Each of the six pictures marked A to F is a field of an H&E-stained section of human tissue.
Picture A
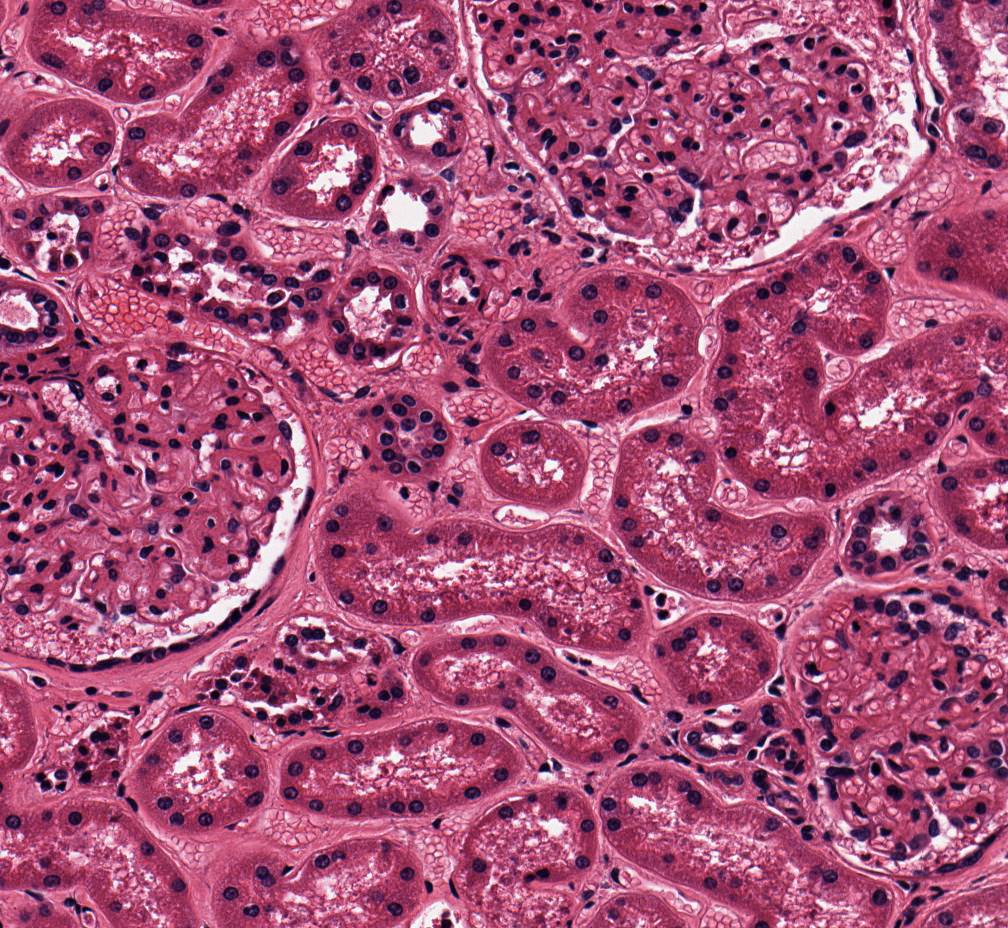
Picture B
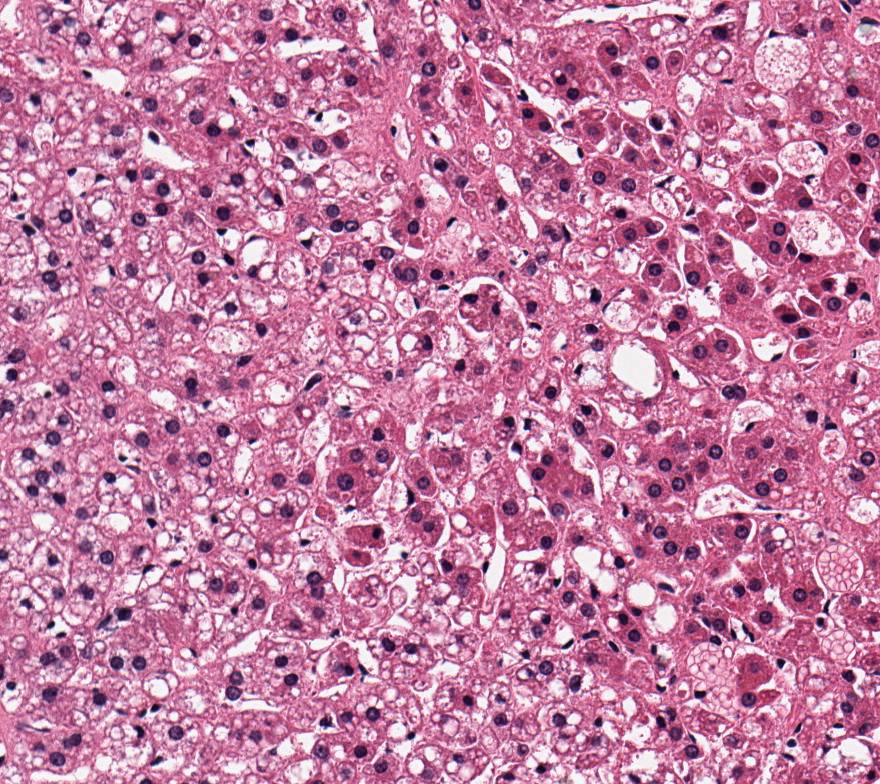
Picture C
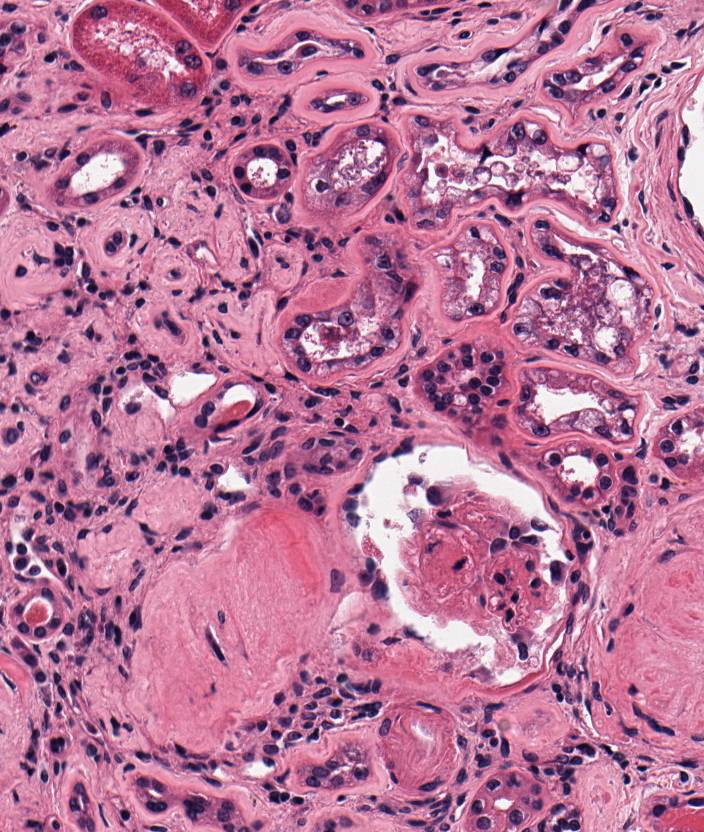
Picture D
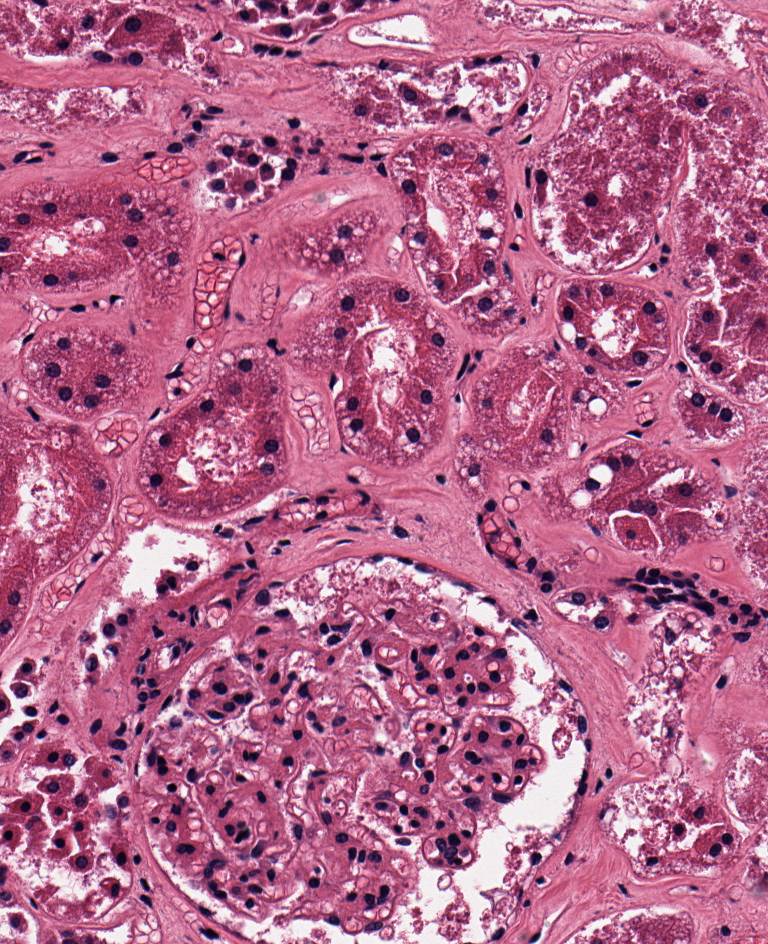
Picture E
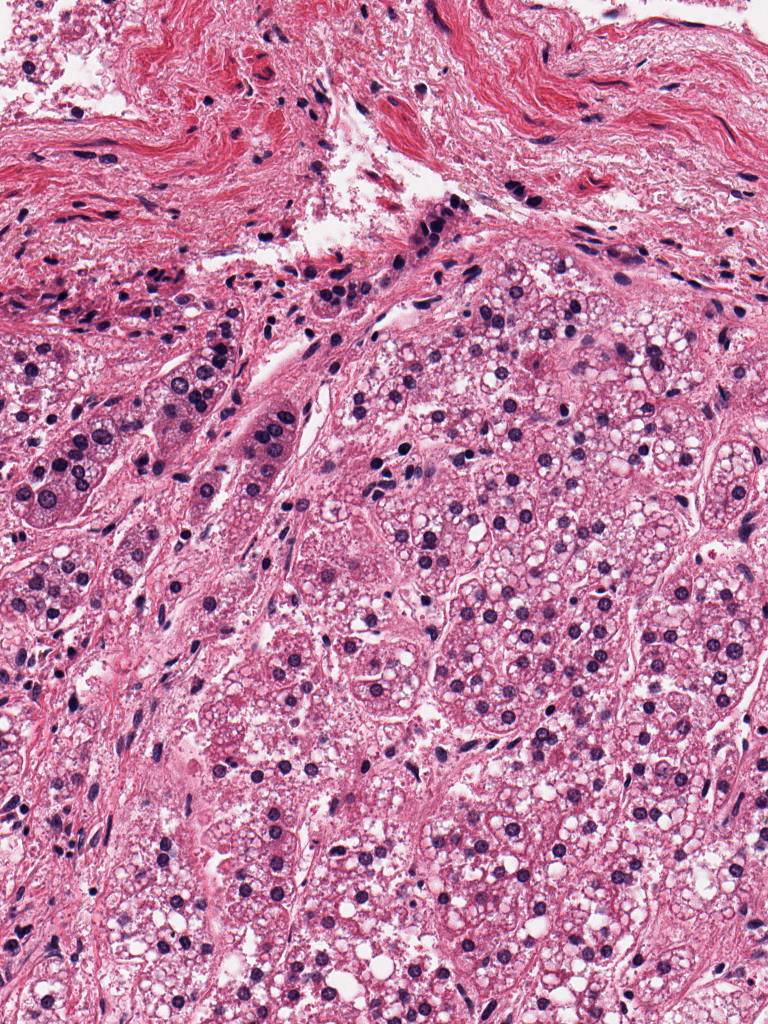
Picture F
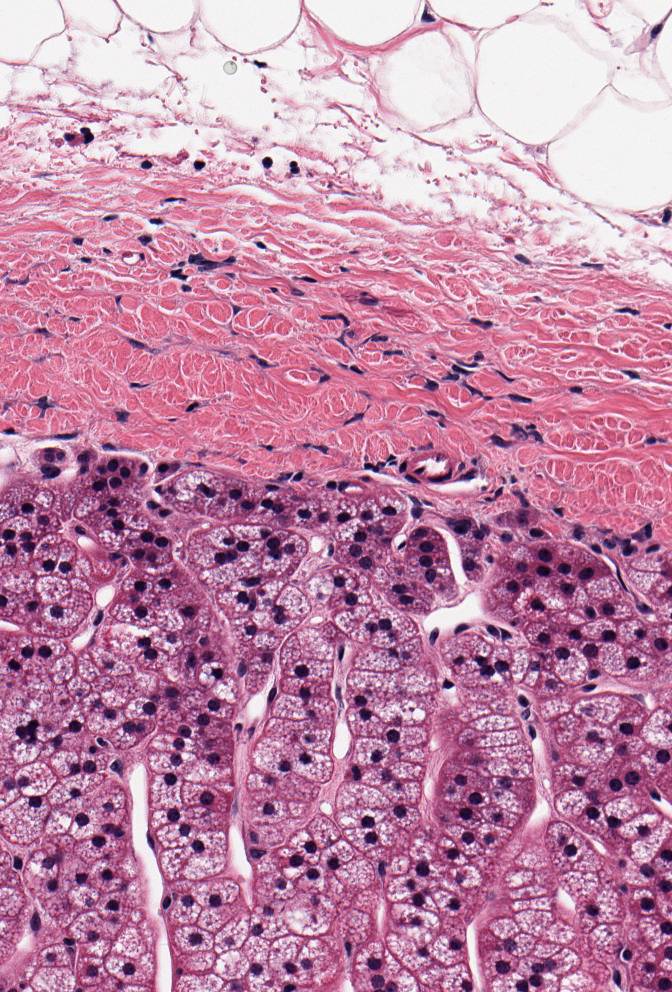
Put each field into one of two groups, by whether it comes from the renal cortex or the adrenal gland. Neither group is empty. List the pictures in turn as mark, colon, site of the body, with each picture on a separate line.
A: renal cortex
B: adrenal gland
C: renal cortex
D: renal cortex
E: adrenal gland
F: adrenal gland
